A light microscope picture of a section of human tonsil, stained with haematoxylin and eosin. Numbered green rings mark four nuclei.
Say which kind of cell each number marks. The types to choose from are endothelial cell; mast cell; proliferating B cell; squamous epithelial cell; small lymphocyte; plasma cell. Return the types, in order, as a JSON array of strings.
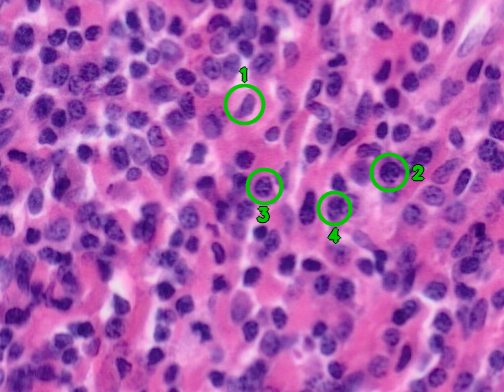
["mast cell", "plasma cell", "plasma cell", "plasma cell"]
